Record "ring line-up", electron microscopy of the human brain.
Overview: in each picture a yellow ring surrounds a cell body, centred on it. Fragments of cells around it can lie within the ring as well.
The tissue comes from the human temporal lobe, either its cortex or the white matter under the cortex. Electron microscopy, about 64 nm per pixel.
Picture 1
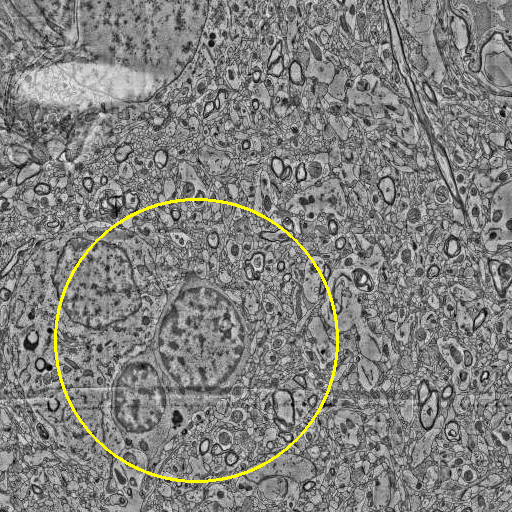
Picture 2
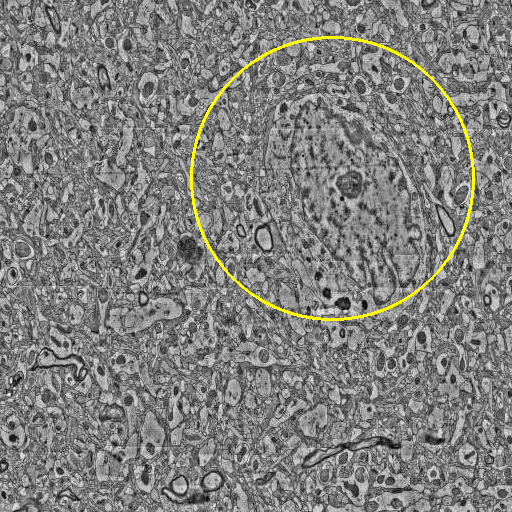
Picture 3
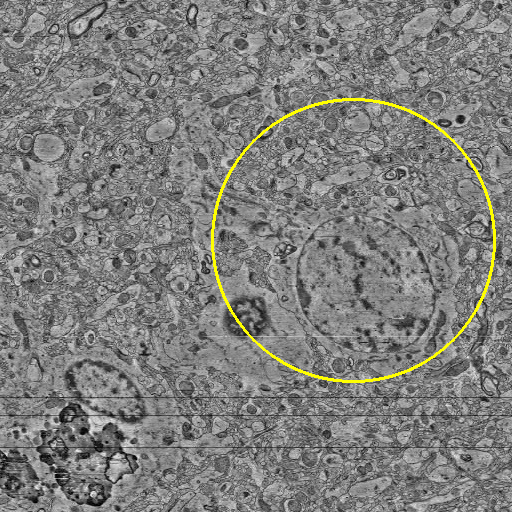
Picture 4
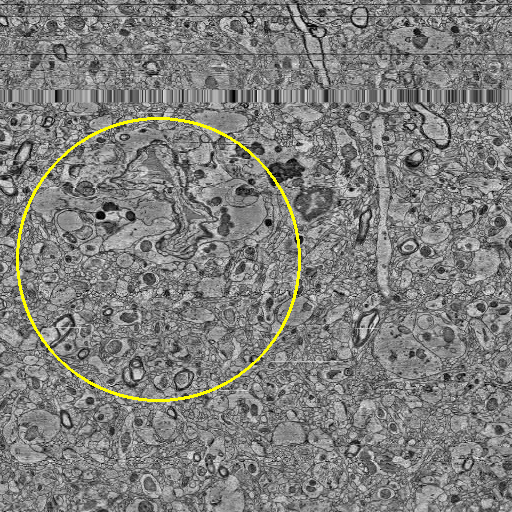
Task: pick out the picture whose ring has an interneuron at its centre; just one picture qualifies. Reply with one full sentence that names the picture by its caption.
Going by the cell at the ring's centre, the right choice is Picture 2.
